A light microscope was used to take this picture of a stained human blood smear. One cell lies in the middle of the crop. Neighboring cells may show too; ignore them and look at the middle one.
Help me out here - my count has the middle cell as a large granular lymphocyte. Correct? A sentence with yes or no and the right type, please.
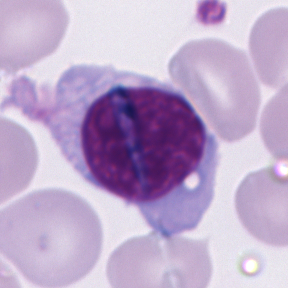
No, the middle cell is not a large granular lymphocyte, it being a typical lymphocyte.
